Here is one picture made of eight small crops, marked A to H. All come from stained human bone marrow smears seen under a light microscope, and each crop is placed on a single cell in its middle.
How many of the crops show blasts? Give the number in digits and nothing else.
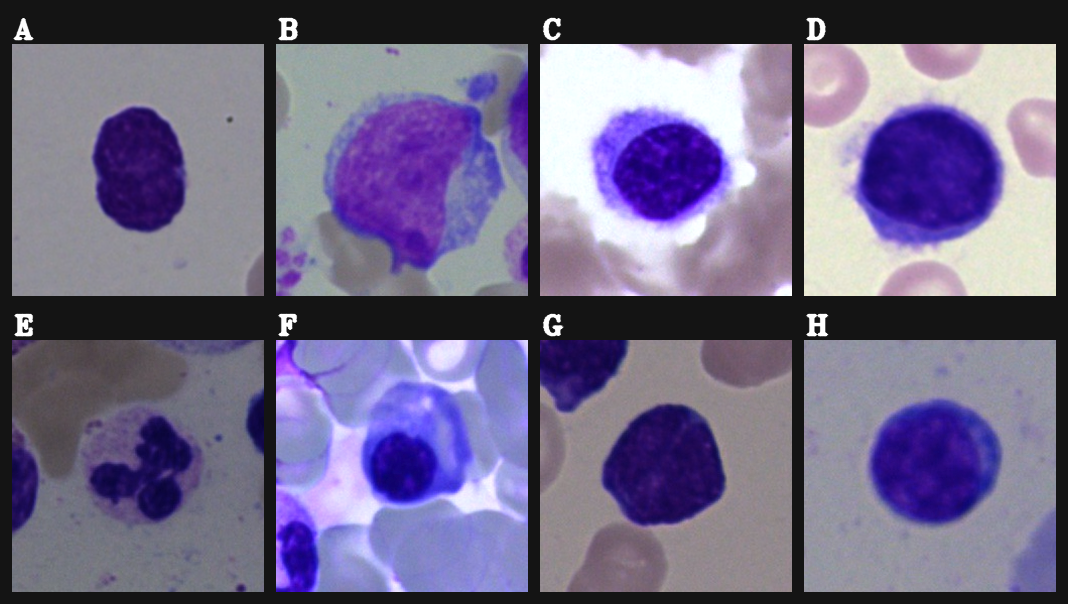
4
